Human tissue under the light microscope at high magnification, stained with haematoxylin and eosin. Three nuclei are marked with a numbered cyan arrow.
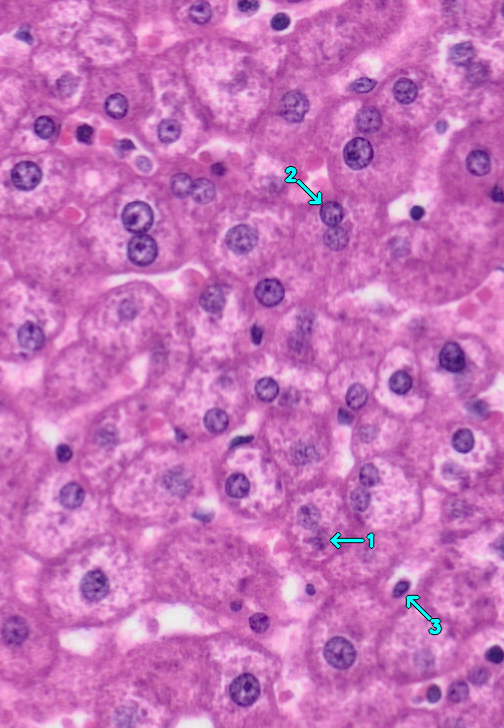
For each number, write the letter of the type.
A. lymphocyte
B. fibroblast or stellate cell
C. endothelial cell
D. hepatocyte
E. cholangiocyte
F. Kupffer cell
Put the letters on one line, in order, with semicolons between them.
D; D; A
